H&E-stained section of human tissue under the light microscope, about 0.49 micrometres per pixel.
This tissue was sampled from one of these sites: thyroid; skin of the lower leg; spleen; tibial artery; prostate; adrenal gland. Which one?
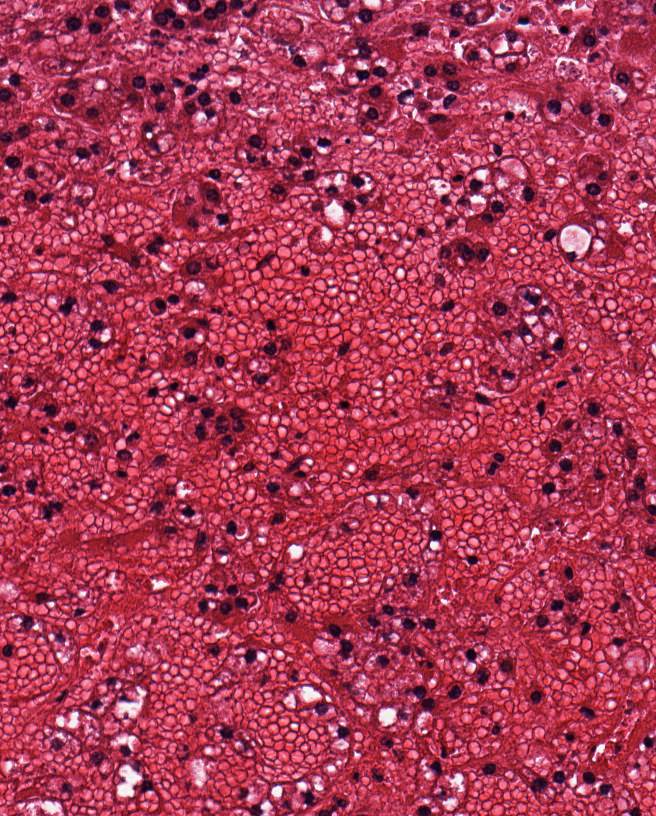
adrenal gland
